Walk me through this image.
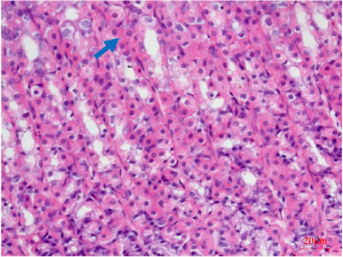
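Gastric glandular mucosa in which the glands run in parallel columns separated by narrow clear spaces. The glands are packed with rounded to polygonal cells with pink cytoplasm and round central nuclei, among them parietal cells.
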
